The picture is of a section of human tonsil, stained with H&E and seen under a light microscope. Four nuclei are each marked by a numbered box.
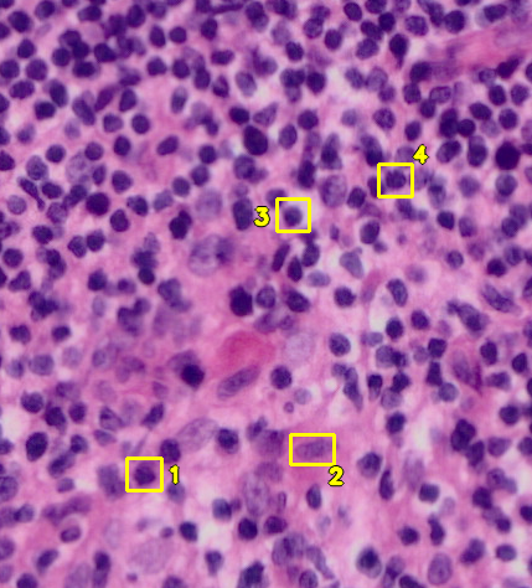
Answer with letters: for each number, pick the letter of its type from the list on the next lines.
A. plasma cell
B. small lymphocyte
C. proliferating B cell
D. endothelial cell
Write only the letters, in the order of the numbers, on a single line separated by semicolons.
A; D; B; B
